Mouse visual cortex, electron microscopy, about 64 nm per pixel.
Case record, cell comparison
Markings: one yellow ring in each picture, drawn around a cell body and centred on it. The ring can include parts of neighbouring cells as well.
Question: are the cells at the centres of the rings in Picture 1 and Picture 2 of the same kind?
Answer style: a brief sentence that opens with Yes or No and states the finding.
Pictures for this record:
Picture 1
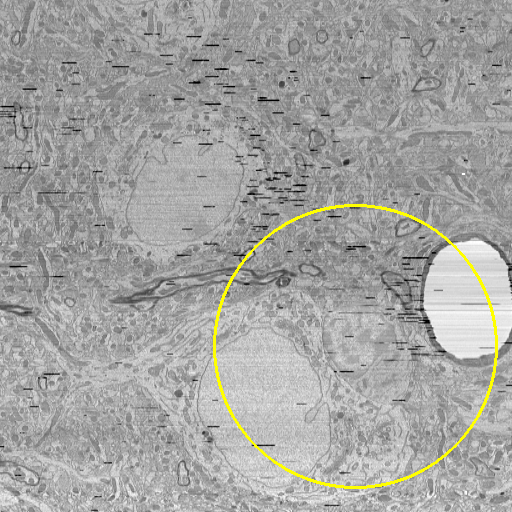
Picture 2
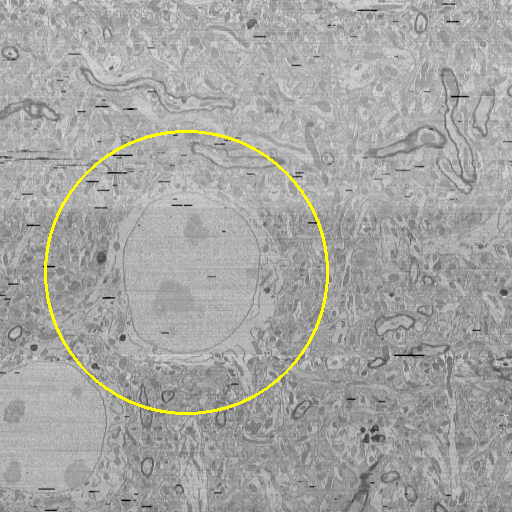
No, the cells in Picture 1 and Picture 2 are of two kinds.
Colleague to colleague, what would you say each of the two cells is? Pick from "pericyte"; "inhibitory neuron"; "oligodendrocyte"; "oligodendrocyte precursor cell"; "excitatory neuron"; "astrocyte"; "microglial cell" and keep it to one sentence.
The cell in the first picture is an oligodendrocyte; the second picture's cell is an excitatory neuron.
